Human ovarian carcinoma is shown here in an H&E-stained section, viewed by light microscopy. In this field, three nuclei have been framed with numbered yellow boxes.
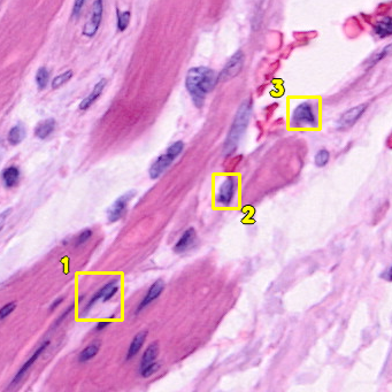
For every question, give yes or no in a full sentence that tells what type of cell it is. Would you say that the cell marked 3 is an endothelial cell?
Yes, the numbered cell 3 is an endothelial cell.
